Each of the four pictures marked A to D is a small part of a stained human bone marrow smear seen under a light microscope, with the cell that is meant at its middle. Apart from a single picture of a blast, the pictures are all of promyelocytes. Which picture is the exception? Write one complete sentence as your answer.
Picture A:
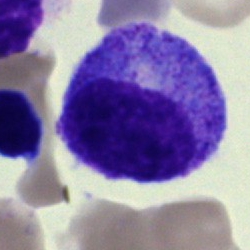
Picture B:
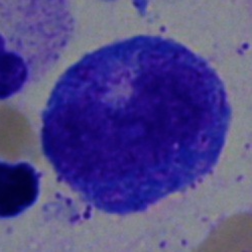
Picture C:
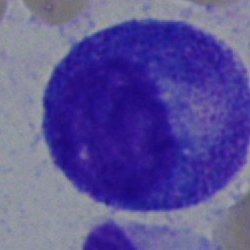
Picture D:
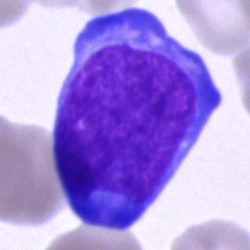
Picture D is the one that shows the blast.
